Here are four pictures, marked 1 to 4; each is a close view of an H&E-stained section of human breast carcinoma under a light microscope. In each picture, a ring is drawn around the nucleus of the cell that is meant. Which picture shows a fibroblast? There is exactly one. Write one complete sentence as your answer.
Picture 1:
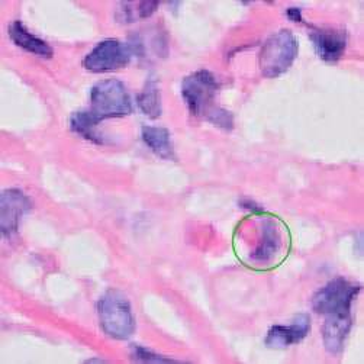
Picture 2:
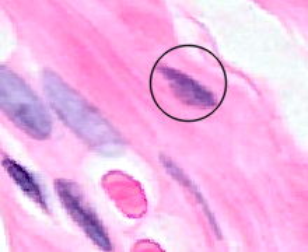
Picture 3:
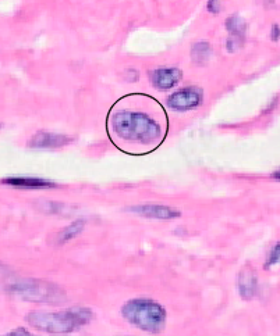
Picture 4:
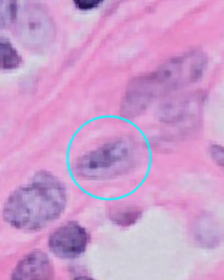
The picture with the fibroblast is 2.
